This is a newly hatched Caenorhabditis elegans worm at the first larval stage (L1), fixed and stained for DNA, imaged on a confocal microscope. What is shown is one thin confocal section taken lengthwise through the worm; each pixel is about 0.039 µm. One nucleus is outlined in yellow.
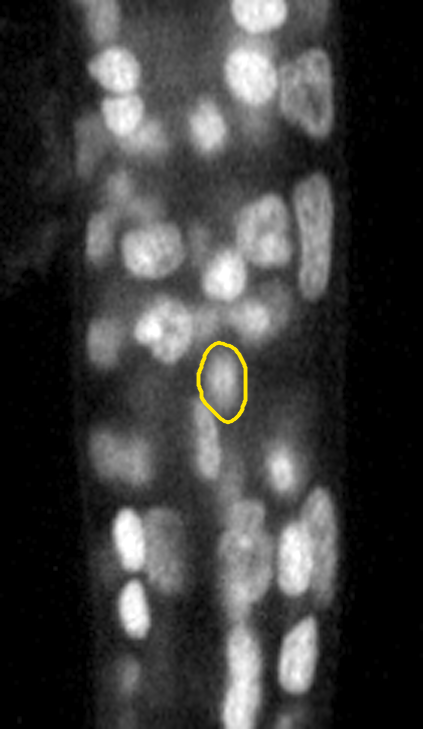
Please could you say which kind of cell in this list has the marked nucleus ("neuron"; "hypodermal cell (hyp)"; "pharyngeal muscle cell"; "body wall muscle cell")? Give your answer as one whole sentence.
The marked nucleus is that of a neuron.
